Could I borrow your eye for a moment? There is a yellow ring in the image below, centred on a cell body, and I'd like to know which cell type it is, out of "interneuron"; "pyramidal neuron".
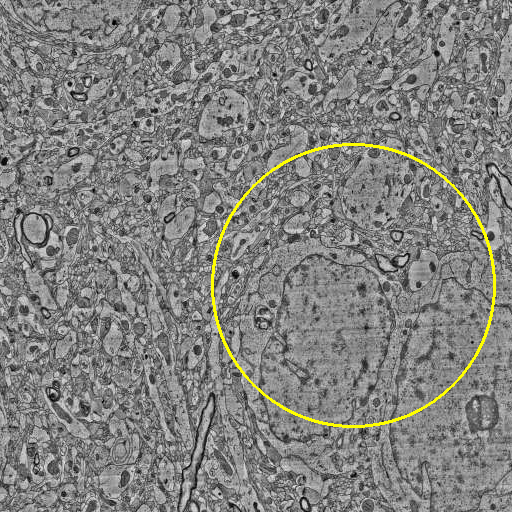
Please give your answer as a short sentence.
The cell body at the centre is that of an interneuron.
